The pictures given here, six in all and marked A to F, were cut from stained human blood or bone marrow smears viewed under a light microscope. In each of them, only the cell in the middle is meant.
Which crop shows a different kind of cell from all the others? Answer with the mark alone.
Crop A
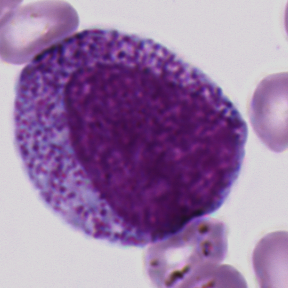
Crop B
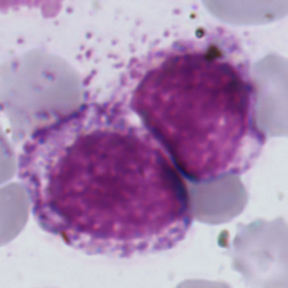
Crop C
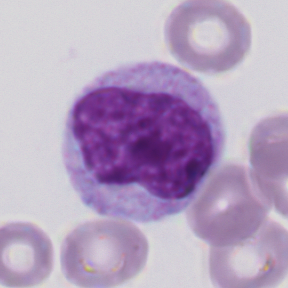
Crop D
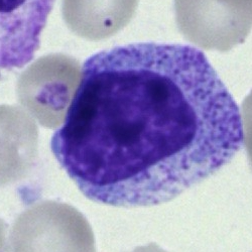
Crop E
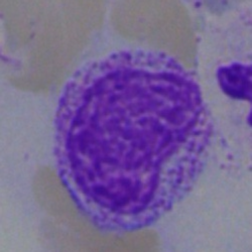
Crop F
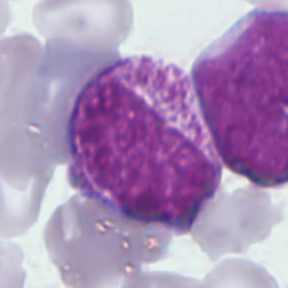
A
